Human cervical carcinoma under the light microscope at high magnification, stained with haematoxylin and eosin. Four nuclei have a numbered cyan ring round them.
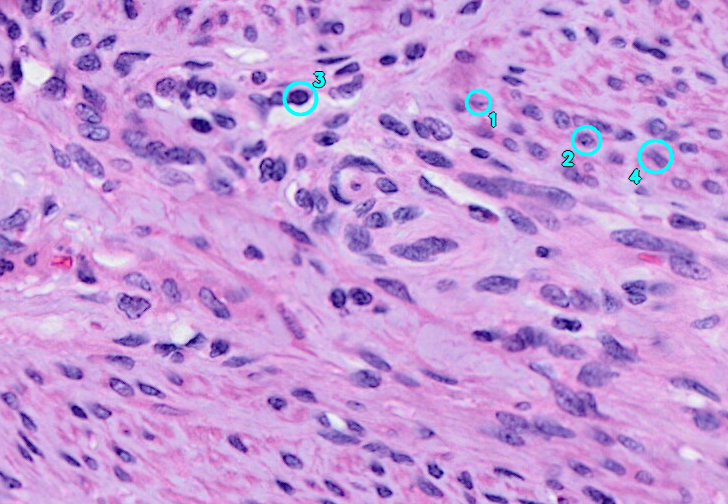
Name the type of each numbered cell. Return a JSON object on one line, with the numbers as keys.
{"1": "smooth muscle cell", "2": "smooth muscle cell", "3": "lymphocyte", "4": "smooth muscle cell"}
